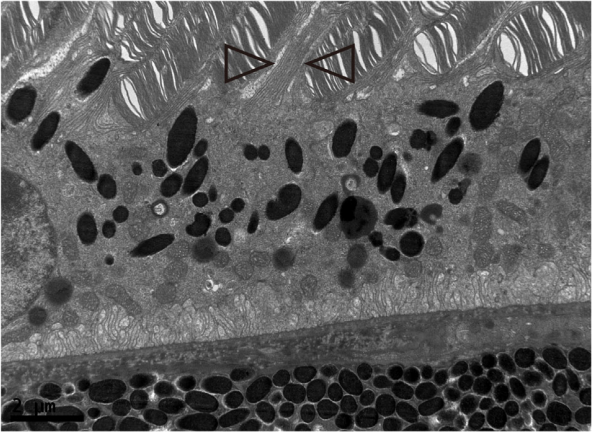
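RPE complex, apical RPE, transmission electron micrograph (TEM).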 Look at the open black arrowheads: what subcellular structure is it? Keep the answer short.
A: Microvilli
